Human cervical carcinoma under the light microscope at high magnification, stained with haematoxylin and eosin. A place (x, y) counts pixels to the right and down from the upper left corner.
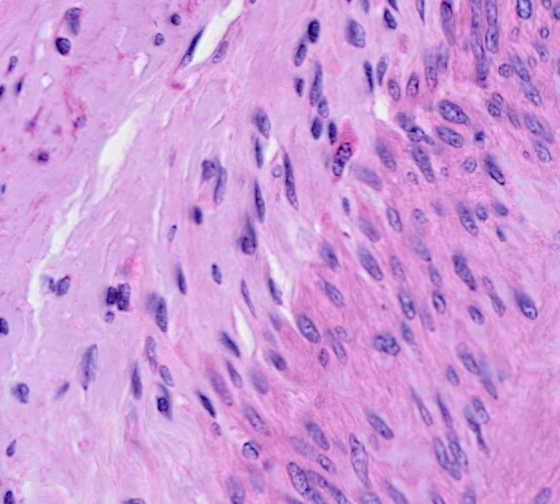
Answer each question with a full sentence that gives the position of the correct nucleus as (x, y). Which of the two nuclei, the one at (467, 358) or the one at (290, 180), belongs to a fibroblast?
The nucleus situated at (290, 180) is the one belonging to a fibroblast.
